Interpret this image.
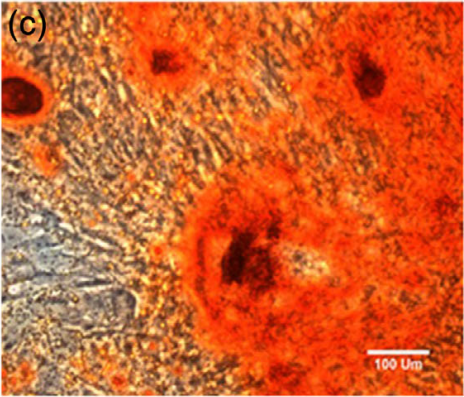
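The stain spreads over most of the field, with several compact dark red nodules where the deposit is heaviest. Around the nodules the stain fades into a halo of lighter orange. At the left edge a less stained area shows the packed spindle-shaped cells of the layer.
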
